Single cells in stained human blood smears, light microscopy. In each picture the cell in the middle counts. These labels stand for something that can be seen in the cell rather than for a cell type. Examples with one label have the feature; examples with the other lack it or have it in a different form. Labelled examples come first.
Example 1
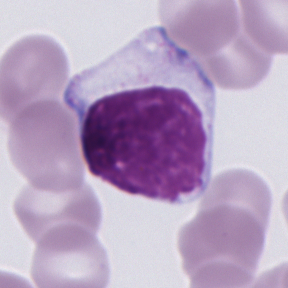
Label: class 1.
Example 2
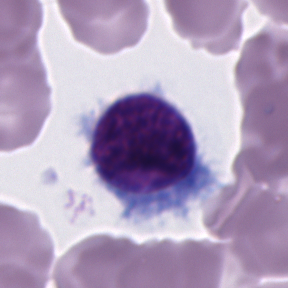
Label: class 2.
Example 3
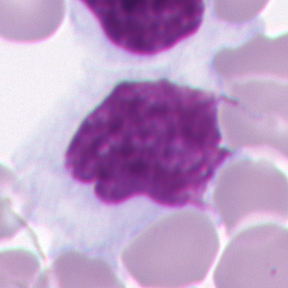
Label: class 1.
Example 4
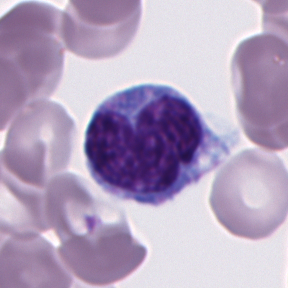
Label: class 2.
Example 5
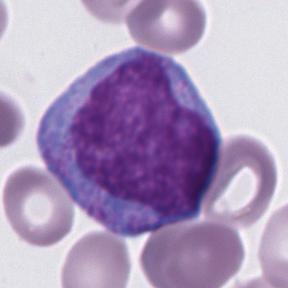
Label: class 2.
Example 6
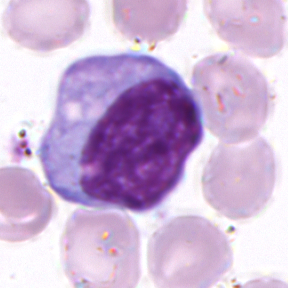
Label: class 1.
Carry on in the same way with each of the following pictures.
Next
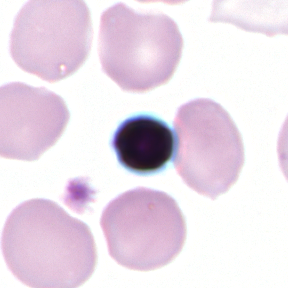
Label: class 2.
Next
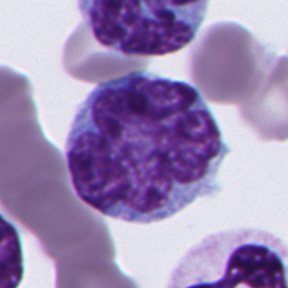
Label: class 2.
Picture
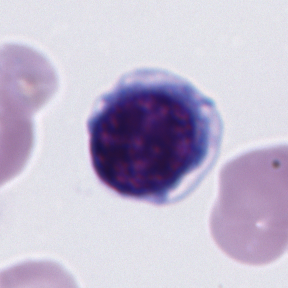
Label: class 2.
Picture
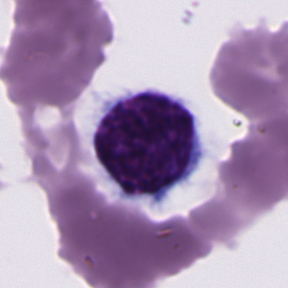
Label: class 2.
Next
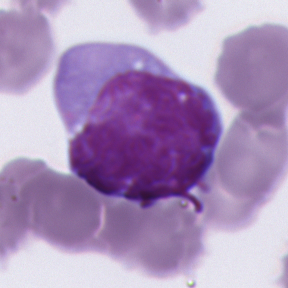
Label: class 1.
